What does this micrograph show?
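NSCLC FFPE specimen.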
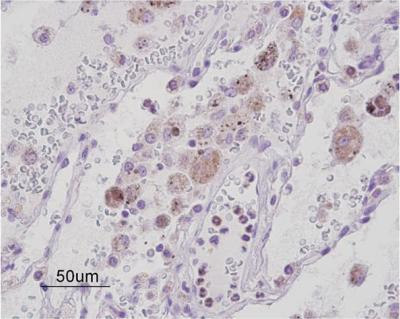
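Thin fibrous septa enclose spaces holding many red blood cells together with large rounded cells whose cytoplasm is brown and granular, several packed with dark pigment granules. These large cells with single round nuclei lying free in the spaces are macrophages.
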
